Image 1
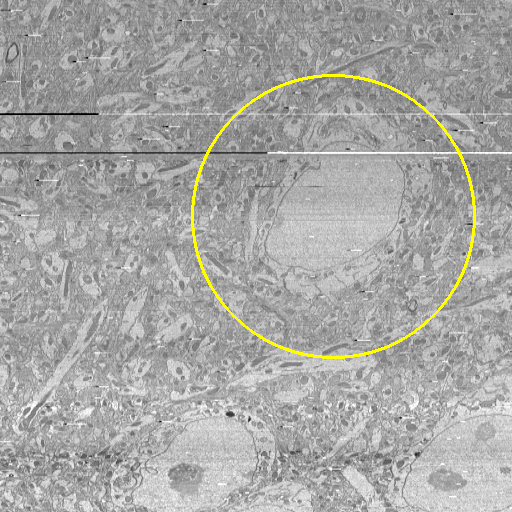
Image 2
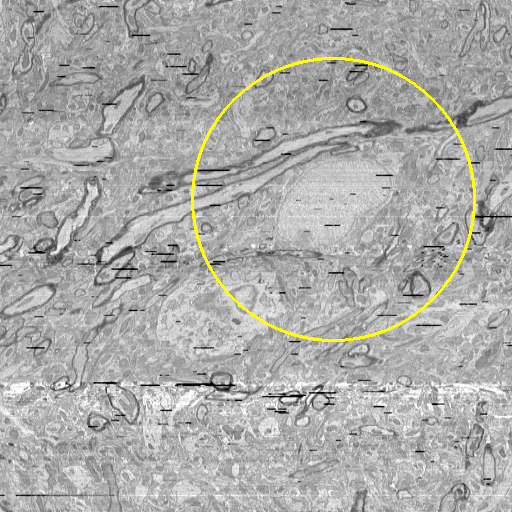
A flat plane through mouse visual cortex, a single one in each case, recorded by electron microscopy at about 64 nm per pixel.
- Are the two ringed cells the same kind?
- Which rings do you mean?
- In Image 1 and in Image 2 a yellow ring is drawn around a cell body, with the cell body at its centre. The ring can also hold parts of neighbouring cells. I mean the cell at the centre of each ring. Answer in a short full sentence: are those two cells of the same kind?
No, the cells are of two kinds.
